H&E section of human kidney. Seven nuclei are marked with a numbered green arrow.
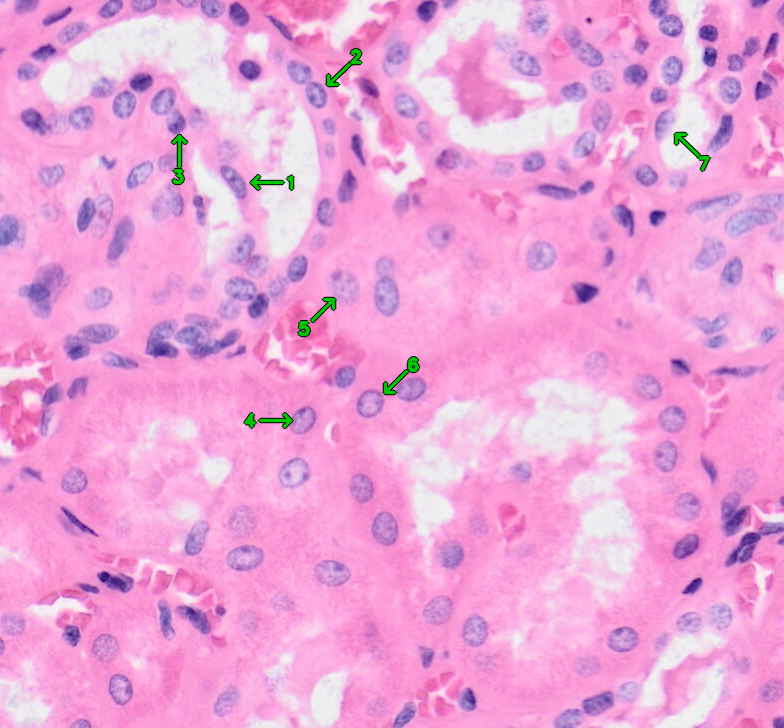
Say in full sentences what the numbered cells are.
Cells 1, 2, 3 and 7 are collecting duct cells. Cells 4, 5 and 6 are proximal tubule cells.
